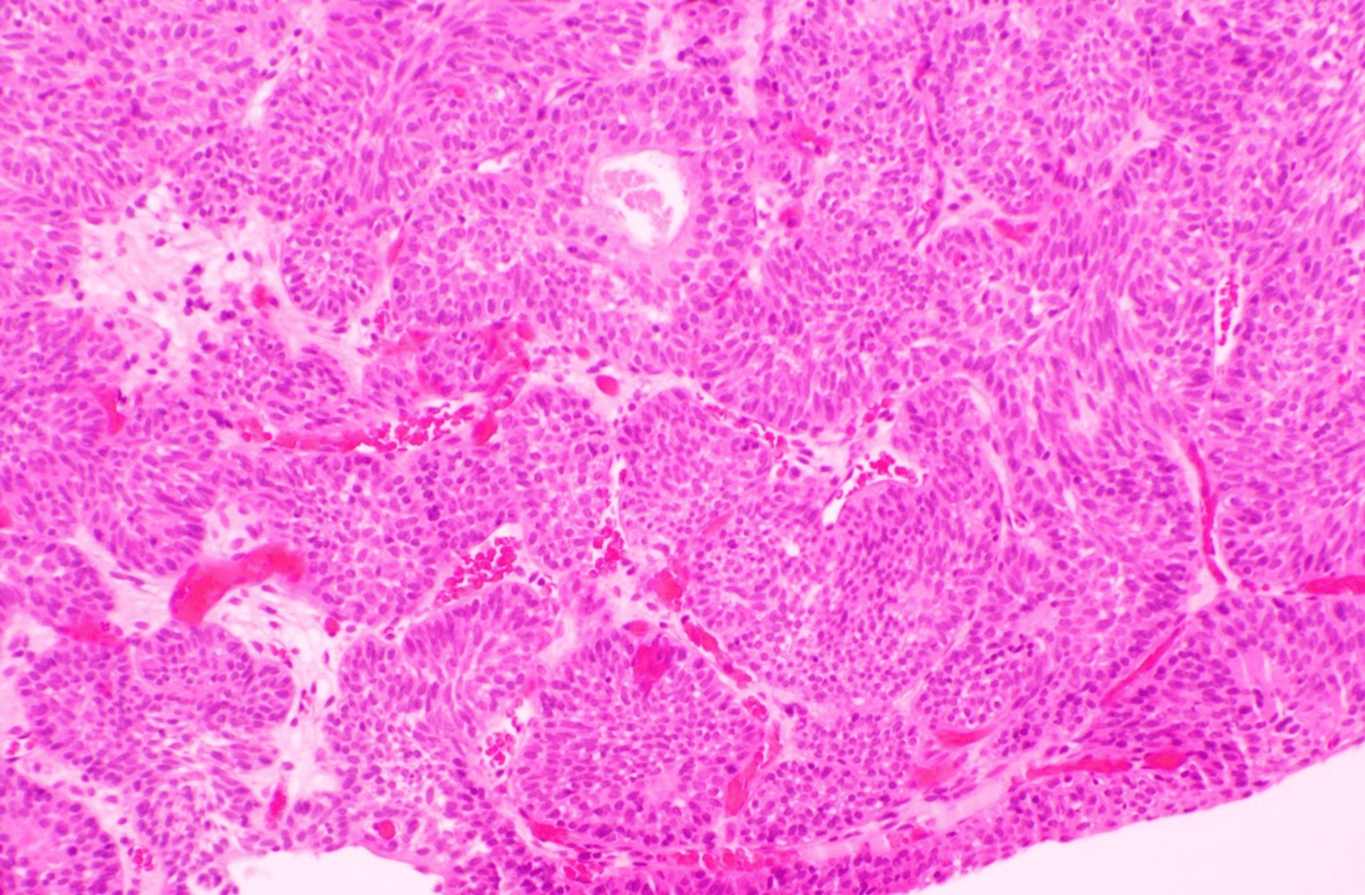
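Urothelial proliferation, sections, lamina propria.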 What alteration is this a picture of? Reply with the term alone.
Inverted papilloma.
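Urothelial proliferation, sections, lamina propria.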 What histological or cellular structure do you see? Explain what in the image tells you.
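Cords and nests of packed epithelial cells join and branch into one another. Thin strands of loose pale stroma with small blood vessels full of red cells separate the cords. The outlines of the nests are smooth and rounded. The answer: anastomosing trabeculae.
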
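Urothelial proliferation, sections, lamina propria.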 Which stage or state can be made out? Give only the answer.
Cytologically bland with uniform nuclei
